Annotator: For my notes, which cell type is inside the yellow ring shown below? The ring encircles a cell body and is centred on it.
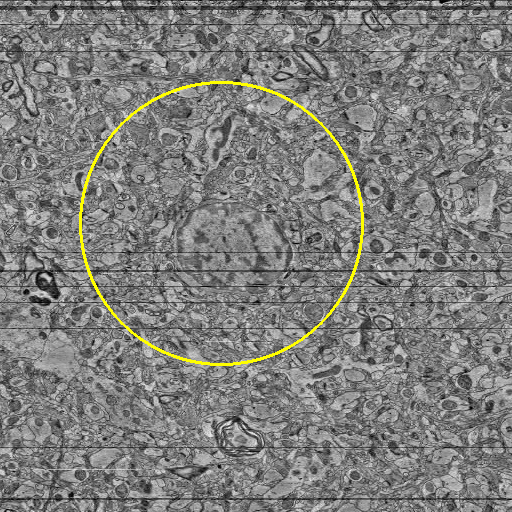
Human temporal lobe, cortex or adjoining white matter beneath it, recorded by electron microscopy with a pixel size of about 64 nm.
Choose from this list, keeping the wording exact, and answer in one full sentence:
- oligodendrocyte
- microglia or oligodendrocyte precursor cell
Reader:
At the centre of the yellow ring there is an oligodendrocyte, as shown in the picture.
